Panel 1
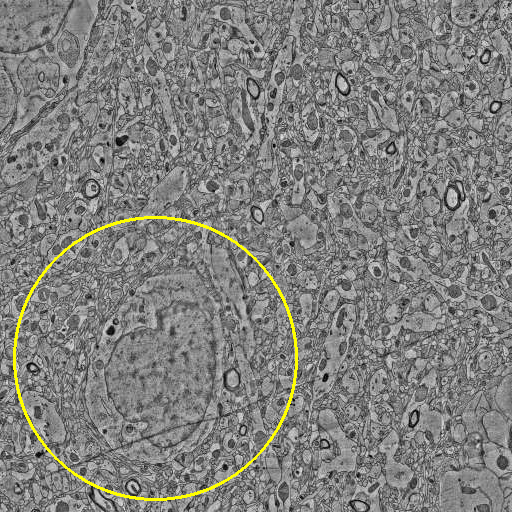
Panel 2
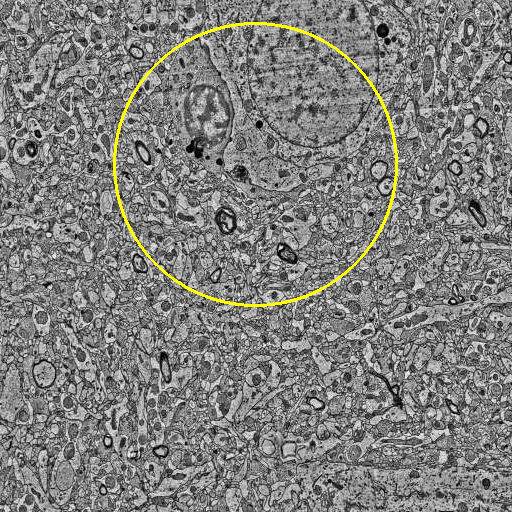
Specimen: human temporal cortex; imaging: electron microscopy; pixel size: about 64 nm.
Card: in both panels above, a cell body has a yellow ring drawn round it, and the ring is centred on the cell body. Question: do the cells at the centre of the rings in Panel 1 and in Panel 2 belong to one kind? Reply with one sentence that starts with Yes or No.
No, the cells centred in the rings of Panel 1 and Panel 2 are two kinds of cell.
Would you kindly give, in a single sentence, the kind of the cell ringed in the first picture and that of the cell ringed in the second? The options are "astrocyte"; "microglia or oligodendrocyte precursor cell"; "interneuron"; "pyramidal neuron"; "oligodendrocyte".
The second cell is an oligodendrocyte, and the first cell is an interneuron.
